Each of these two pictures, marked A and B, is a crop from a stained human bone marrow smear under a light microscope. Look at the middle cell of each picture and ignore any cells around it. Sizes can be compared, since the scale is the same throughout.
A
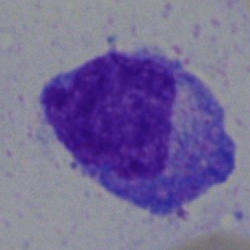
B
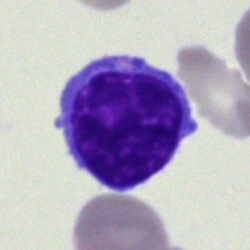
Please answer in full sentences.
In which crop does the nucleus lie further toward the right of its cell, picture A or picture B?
In picture B the nucleus is shifted more toward the right.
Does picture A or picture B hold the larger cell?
Larger is the cell in picture A, at roughly 1.5 times the area of the other.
